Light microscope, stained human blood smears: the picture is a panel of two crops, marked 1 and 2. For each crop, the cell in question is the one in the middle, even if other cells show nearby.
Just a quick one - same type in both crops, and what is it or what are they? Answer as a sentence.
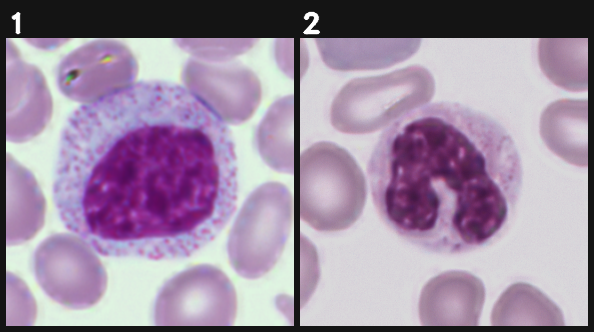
No, it is crop 1 that shows a metamyelocyte, and crop 2 that shows a band neutrophil.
